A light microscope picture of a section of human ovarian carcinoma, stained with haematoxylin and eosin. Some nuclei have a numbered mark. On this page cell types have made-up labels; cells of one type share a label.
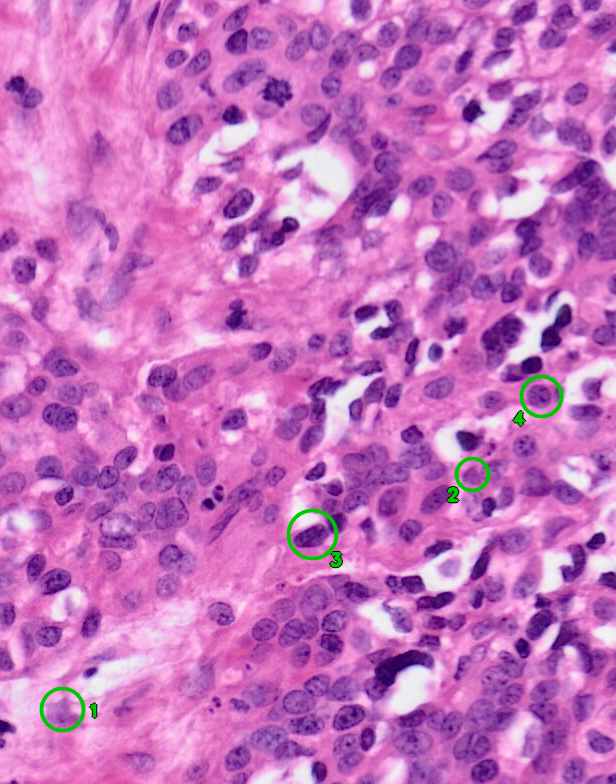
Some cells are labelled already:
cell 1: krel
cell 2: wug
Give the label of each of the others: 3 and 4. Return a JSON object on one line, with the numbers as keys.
{"3": "wug", "4": "wug"}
